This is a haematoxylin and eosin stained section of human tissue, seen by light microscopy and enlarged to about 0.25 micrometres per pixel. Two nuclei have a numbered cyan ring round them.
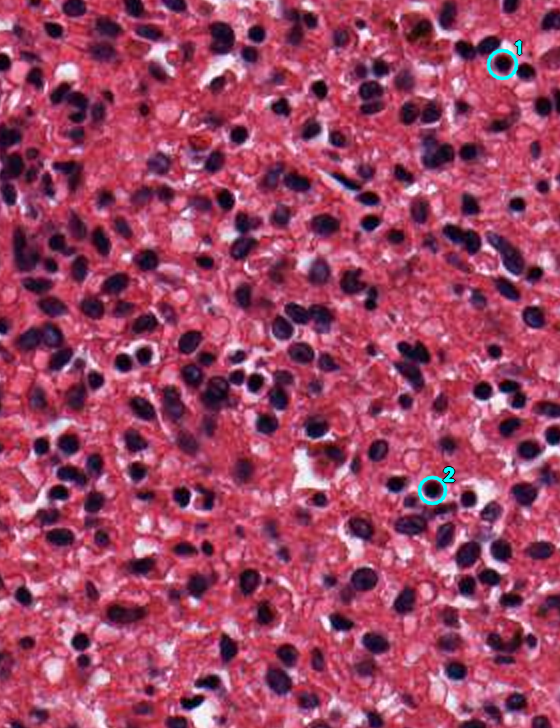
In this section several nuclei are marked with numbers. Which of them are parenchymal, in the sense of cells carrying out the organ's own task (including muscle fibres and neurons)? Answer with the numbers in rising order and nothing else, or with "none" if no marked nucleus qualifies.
none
